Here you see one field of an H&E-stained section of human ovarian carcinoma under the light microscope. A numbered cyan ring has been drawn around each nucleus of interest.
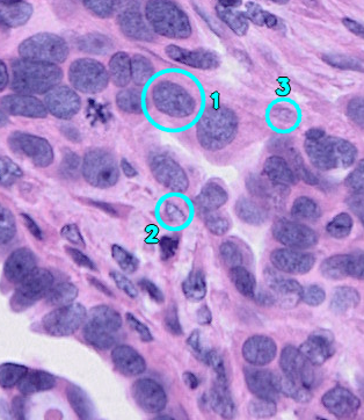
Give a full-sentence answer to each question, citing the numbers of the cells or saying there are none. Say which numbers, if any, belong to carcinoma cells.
Only the cell numbered 1 is a carcinoma cell, and the others are something else.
